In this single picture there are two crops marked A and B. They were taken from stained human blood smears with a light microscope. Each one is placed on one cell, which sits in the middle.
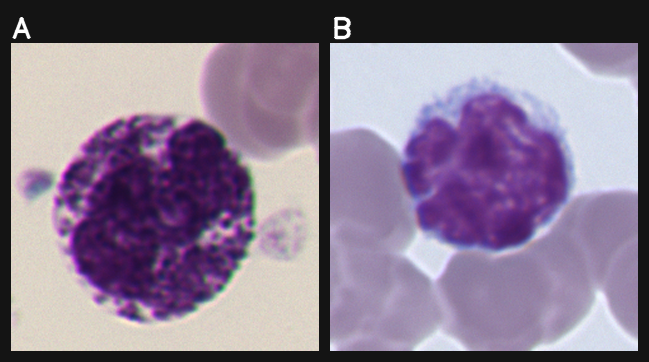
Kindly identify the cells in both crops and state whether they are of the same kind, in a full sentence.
No, crop A features a basophil, while crop B features a typical lymphocyte.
